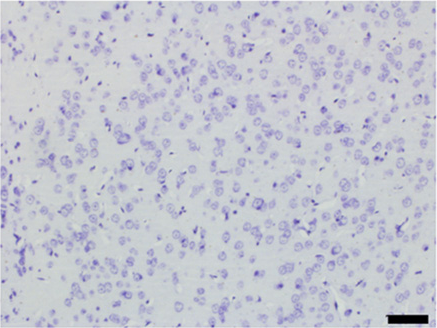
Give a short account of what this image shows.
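This Nissl-stained section of brain tissue shows evenly and densely distributed neurons across the whole field. Their cell bodies are round to oval, with pale round nuclei surrounded by a rim of light purple cytoplasm. Smaller darker cells lie scattered between the neurons. No region of cell loss or shrunken dark cells is seen.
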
